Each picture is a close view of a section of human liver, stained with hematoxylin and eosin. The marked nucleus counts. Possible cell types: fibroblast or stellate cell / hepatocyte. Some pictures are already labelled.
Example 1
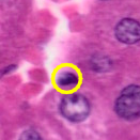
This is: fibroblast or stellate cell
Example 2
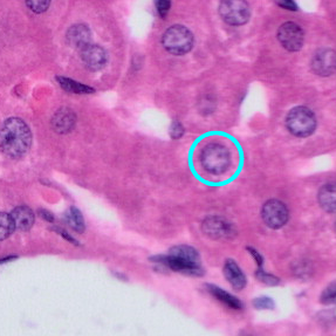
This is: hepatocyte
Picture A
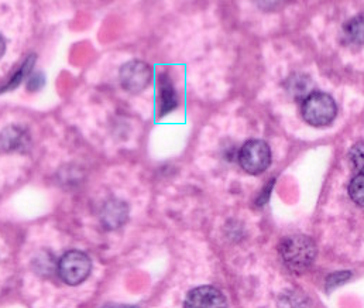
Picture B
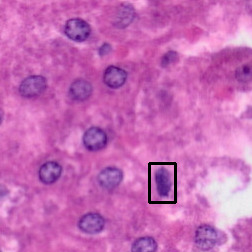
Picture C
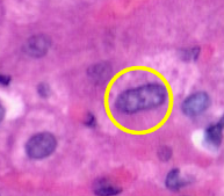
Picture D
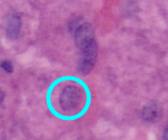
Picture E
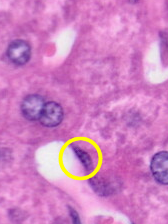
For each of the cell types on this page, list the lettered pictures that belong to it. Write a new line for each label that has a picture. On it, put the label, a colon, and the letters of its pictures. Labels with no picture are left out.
fibroblast or stellate cell: A, B, E
hepatocyte: C, D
